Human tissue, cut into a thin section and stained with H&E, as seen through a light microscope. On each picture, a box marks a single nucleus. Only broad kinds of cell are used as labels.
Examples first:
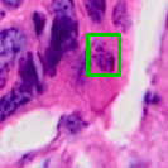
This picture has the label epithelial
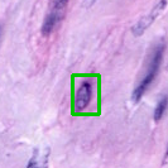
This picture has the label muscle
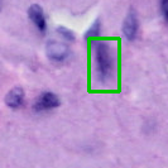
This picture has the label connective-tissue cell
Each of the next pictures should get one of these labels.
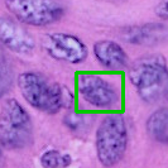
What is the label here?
epithelial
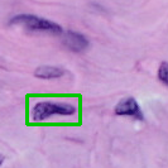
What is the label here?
connective-tissue cell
